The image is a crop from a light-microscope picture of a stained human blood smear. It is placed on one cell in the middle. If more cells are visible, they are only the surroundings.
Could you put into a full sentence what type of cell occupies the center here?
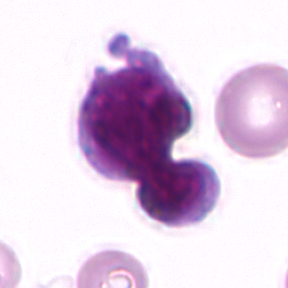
The cell shown in the center of this light-microscope crop is an atypical promyelocyte.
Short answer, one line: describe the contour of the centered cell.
Irregular rather than smooth, the cell margin shows ragged areas or projections.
